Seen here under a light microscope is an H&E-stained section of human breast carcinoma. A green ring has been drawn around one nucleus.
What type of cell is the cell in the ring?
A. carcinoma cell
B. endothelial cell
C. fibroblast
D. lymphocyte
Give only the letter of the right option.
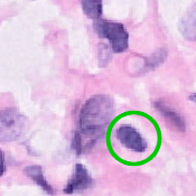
D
